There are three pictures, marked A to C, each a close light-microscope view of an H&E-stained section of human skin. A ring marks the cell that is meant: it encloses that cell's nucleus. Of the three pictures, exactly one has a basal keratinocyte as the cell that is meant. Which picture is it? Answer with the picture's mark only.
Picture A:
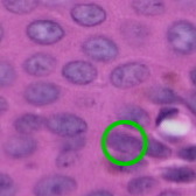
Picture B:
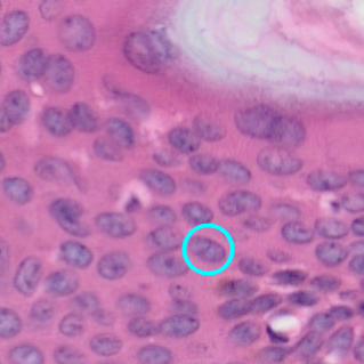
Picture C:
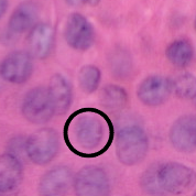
A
